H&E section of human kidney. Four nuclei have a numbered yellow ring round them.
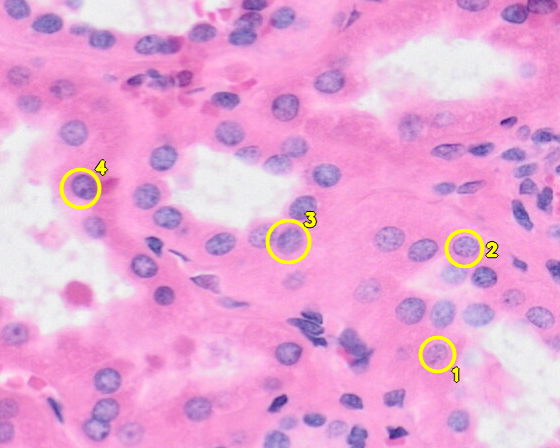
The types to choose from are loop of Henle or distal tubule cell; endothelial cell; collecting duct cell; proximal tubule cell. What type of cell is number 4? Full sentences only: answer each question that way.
The cell that bears the number 4 is a proximal tubule cell.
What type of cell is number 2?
Here, the cell given the number 2 is a loop of Henle or distal tubule cell.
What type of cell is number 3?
In the marked set, the cell given number 3 is a loop of Henle or distal tubule cell.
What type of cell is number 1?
It is as a loop of Henle or distal tubule cell that the cell numbered 1 is identified.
